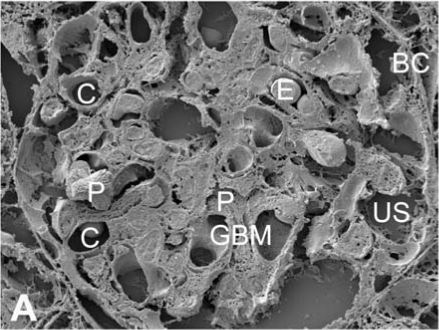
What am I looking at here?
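This is a whole renal glomerulus cut open, showing a tuft of many capillary loops seen in cross-section as rounded dark openings. Some lumina hold rounded red blood cells, and the tuft is enclosed by the thin Bowman's capsule with the urinary space lying between them. Podocytes sit on the outer surface of the capillary loops.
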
